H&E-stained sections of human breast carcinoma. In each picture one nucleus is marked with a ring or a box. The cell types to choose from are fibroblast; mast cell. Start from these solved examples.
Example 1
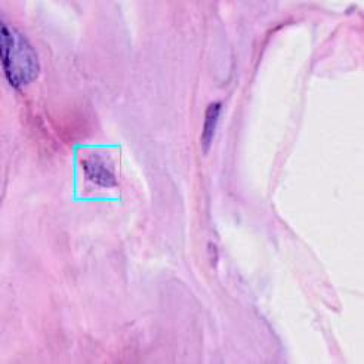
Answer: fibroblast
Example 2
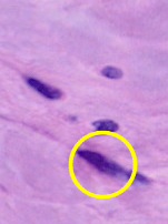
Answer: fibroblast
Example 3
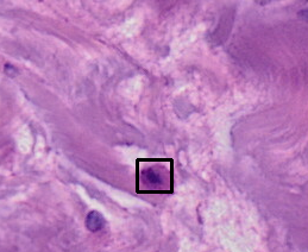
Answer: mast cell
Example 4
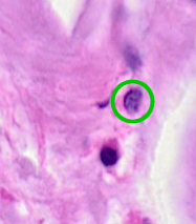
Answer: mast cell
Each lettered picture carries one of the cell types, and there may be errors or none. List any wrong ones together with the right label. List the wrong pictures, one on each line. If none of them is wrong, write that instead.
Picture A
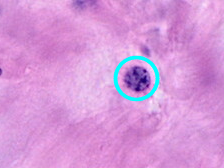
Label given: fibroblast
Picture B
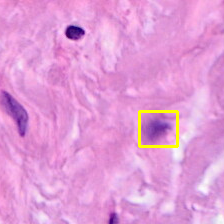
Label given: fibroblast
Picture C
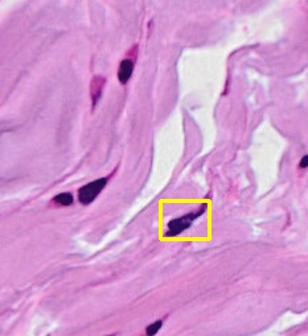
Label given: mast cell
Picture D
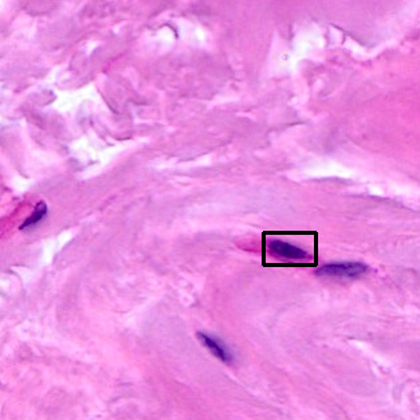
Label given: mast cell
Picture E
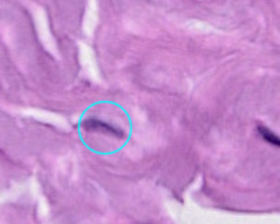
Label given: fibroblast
A: change fibroblast to mast cell
C: change mast cell to fibroblast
